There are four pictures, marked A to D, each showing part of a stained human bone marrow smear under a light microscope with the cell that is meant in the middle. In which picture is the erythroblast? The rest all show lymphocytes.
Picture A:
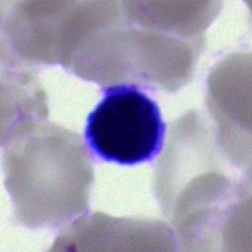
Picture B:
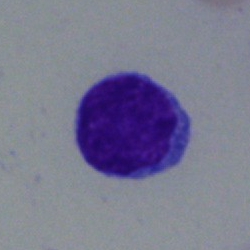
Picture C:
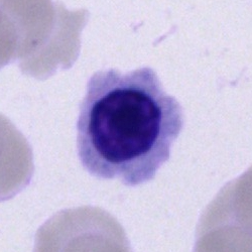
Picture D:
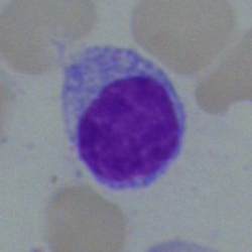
C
